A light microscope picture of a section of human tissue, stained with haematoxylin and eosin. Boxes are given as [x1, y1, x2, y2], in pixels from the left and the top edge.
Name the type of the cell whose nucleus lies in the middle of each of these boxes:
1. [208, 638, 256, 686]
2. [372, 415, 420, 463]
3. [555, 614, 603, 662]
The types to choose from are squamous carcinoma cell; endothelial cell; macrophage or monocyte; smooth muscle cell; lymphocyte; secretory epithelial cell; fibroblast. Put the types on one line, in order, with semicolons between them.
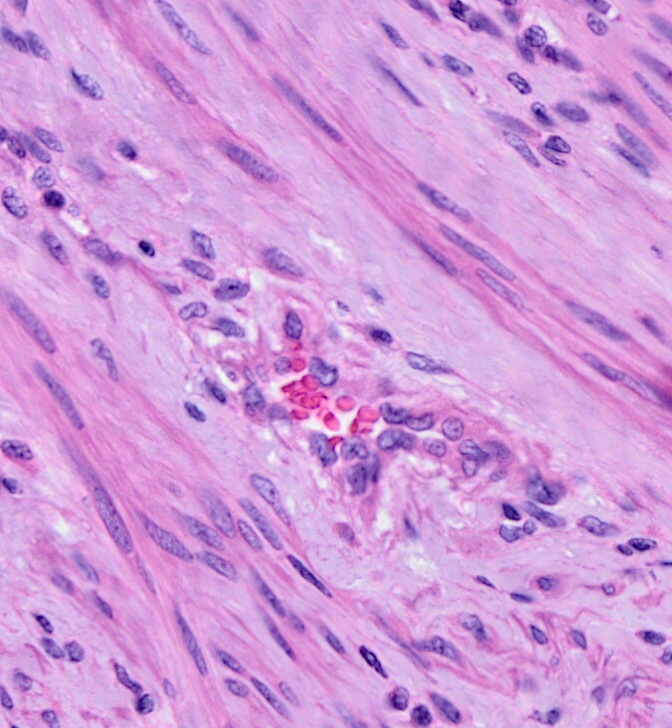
smooth muscle cell; endothelial cell; smooth muscle cell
